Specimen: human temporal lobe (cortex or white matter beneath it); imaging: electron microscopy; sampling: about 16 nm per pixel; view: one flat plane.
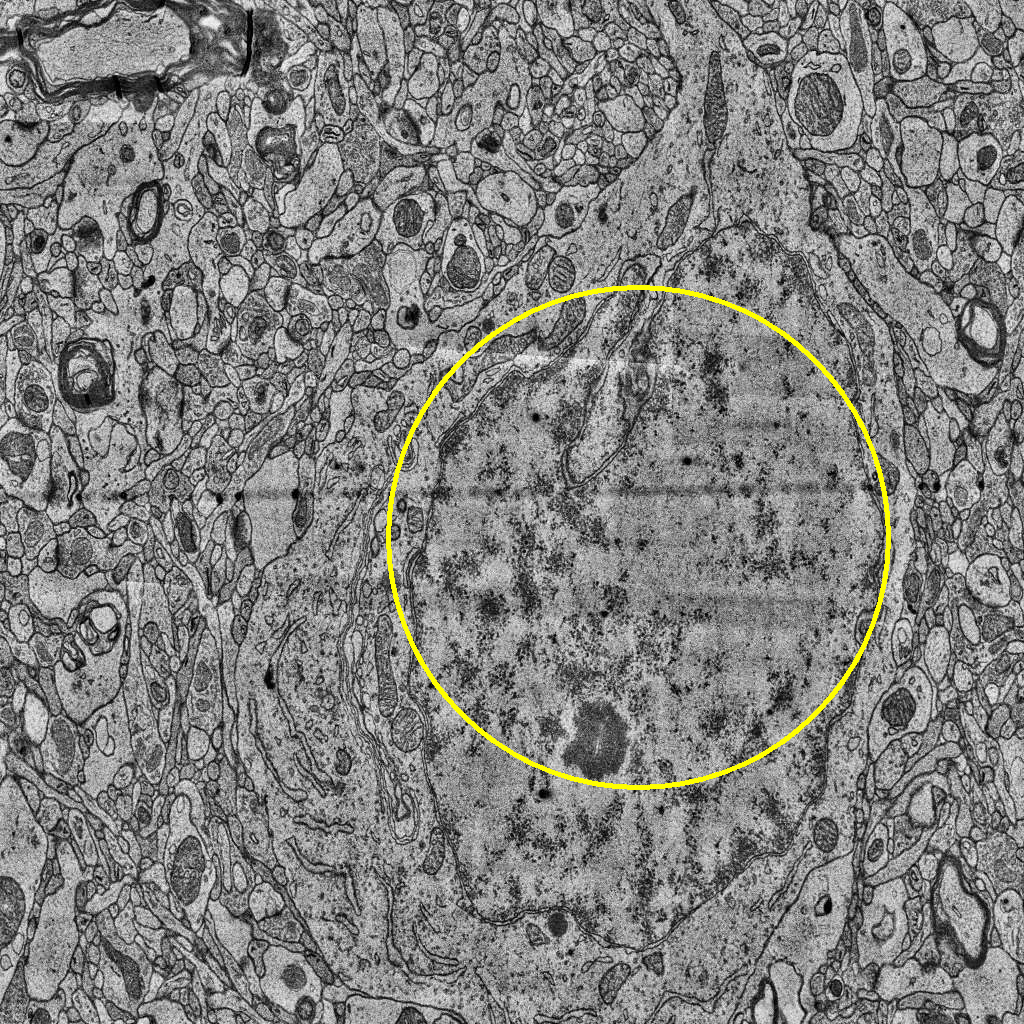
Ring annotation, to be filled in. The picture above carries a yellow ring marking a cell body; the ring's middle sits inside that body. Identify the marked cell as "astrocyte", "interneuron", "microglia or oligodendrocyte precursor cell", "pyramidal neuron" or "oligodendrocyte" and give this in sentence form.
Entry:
The cell at the middle of the ring is an interneuron.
